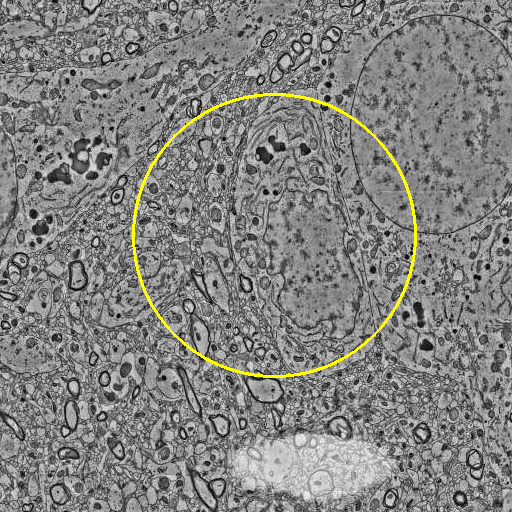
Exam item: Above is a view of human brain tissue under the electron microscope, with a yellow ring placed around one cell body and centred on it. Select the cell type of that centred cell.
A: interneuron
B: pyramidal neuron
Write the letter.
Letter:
A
